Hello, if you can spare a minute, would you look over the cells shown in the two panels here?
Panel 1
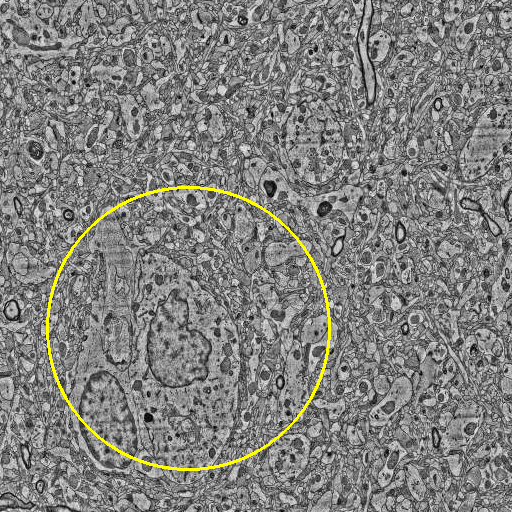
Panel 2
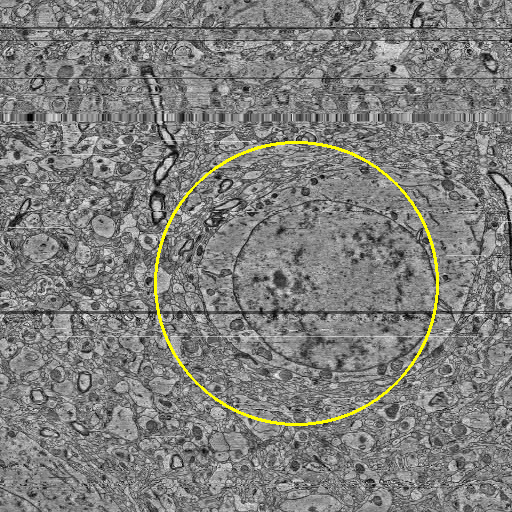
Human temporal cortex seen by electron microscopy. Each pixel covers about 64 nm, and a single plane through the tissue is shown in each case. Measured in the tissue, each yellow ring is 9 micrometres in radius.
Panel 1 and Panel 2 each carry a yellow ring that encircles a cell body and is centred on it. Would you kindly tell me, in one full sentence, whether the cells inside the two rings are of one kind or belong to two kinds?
The cells at the centres of the rings in Panel 1 and Panel 2 are of one kind.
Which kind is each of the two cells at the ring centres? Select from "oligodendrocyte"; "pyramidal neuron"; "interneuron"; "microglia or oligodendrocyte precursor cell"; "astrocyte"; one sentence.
Each of the ringed cells, first and second, is a pyramidal neuron.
